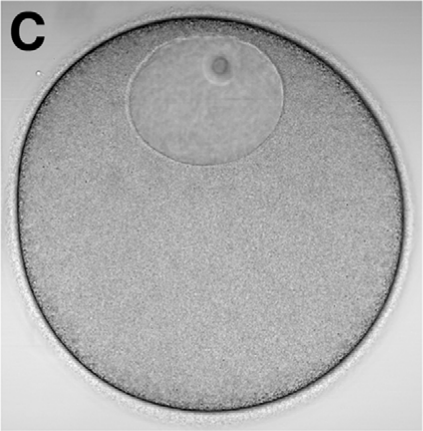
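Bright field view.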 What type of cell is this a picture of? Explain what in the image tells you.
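A single very large round cell with granular cytoplasm. A large clear round nucleus containing a dark nucleolus lies near the edge.
Conclusion: Immature oocytes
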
